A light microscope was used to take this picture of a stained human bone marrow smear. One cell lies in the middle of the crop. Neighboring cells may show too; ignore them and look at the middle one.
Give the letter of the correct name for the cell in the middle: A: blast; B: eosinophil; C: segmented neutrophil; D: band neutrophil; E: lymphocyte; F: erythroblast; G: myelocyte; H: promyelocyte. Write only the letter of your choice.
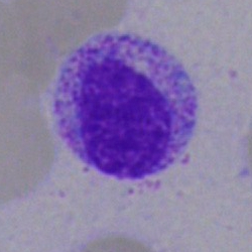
G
